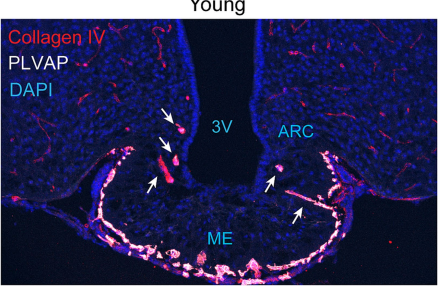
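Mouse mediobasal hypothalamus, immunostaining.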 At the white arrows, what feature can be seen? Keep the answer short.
Fenestrated microvessel loops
